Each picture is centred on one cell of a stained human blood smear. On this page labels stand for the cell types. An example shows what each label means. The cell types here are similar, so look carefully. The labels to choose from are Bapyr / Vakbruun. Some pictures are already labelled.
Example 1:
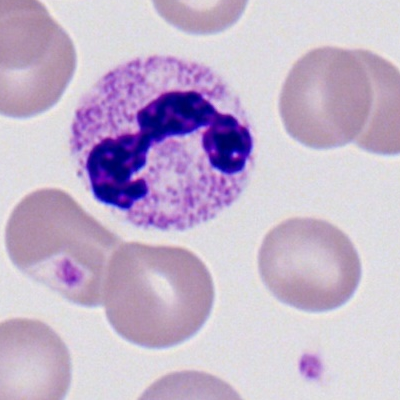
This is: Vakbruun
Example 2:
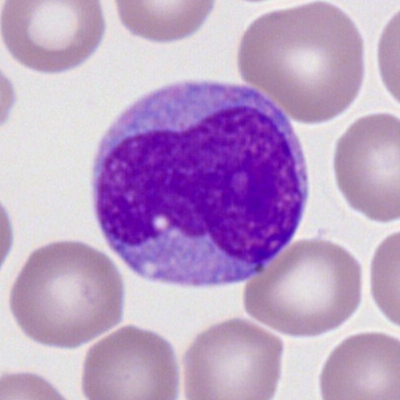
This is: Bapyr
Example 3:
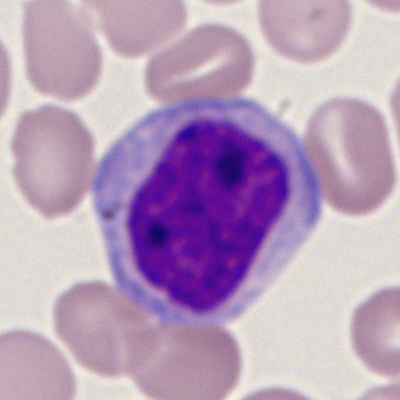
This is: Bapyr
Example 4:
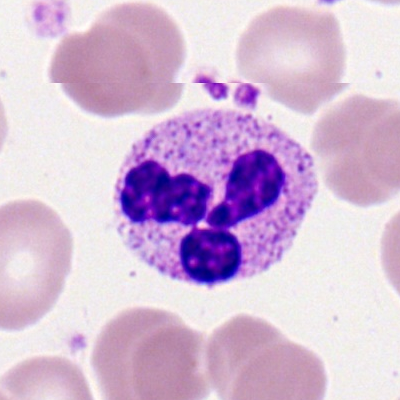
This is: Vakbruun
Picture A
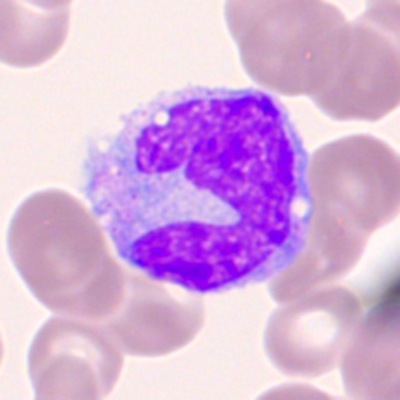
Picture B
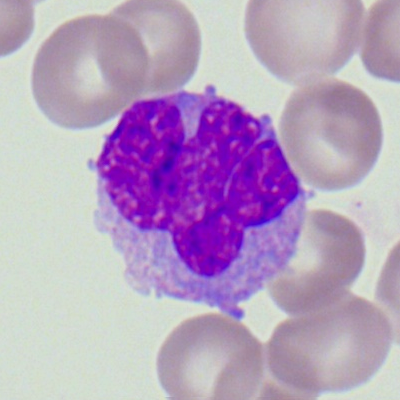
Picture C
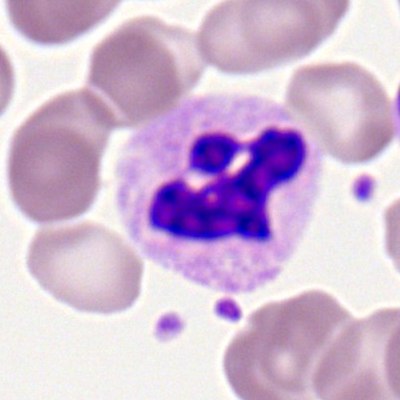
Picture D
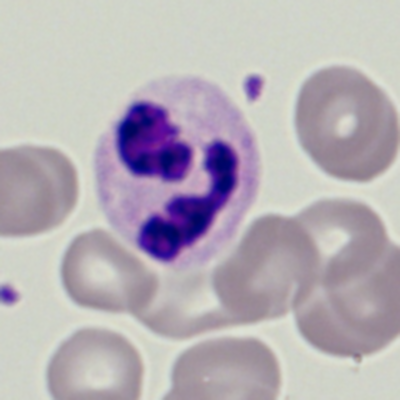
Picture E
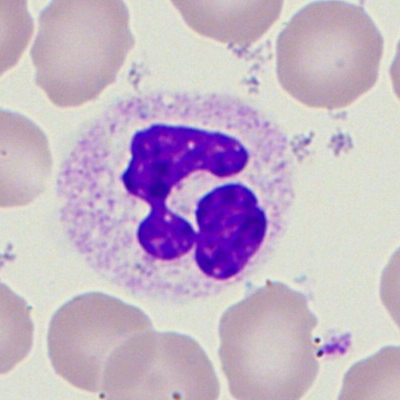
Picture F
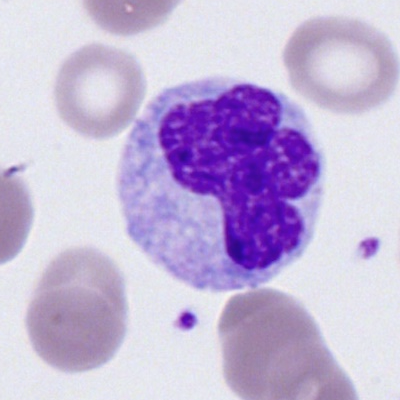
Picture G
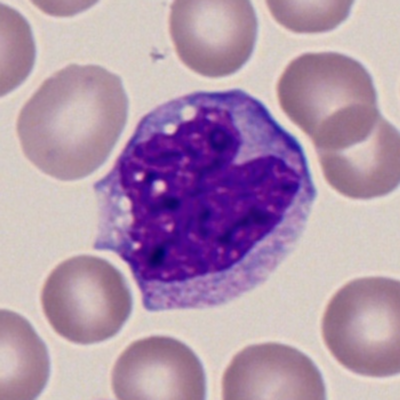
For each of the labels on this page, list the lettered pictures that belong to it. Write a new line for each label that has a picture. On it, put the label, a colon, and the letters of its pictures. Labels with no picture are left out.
Bapyr: A, B, F, G
Vakbruun: C, D, E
